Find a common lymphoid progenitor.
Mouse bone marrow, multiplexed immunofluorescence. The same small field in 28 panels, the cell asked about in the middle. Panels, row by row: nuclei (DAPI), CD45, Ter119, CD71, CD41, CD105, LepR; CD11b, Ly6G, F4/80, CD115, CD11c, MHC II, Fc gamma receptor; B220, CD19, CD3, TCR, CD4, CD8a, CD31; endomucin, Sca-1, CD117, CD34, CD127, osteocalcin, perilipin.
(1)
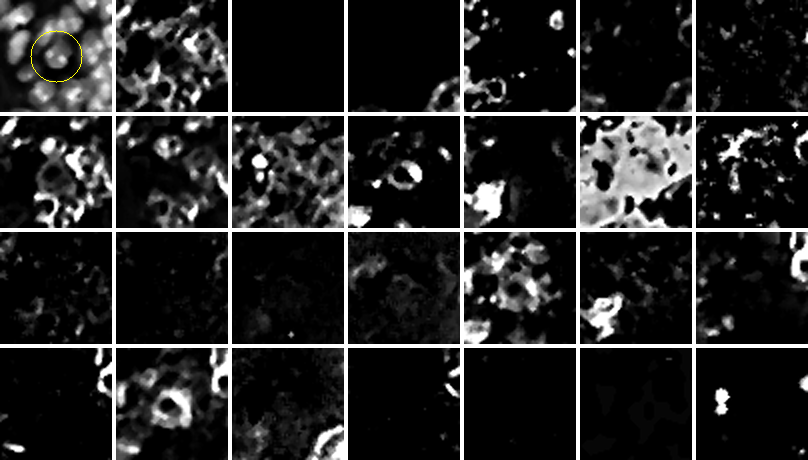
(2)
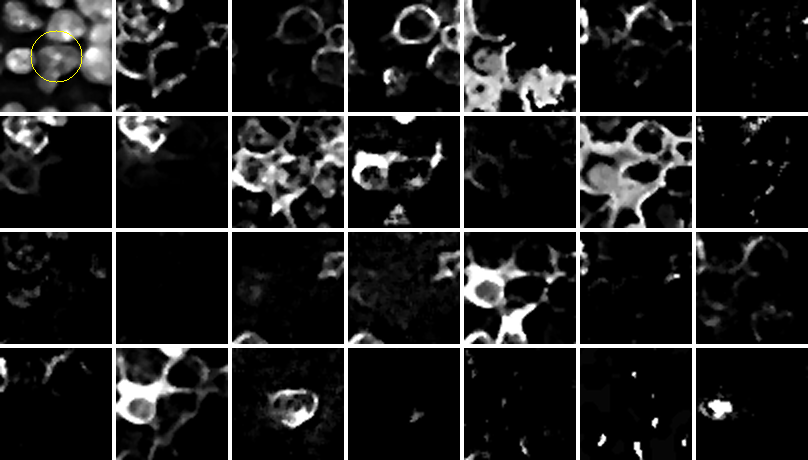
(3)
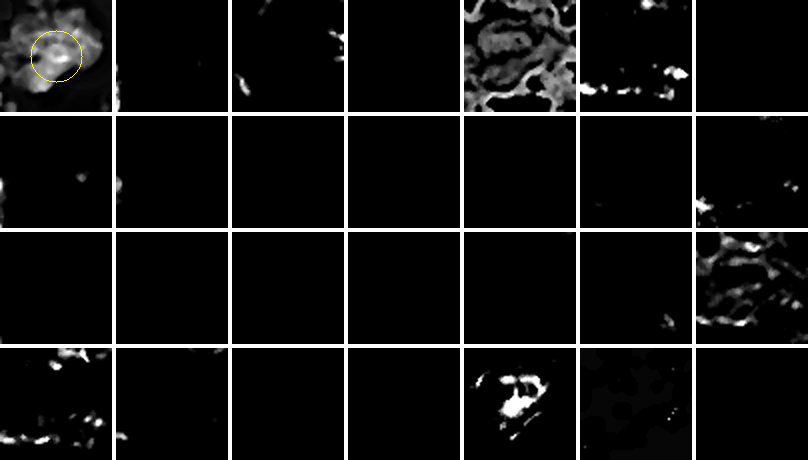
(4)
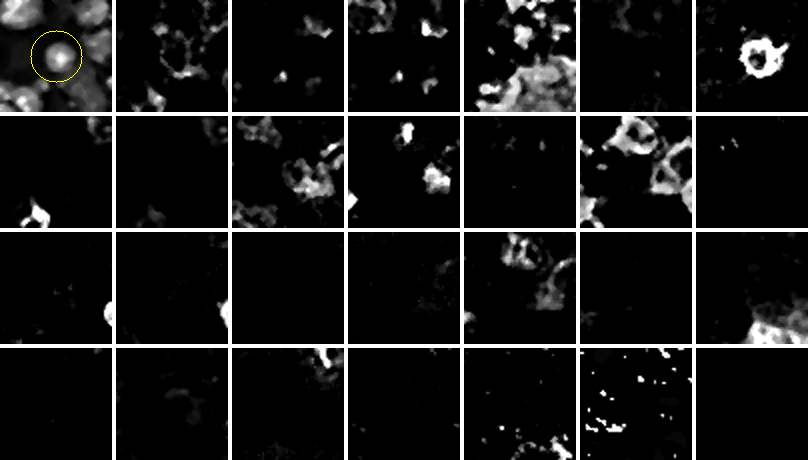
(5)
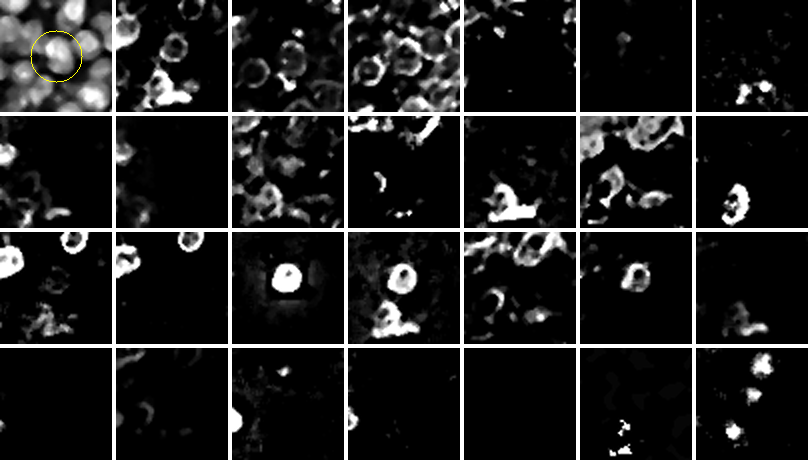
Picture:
3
